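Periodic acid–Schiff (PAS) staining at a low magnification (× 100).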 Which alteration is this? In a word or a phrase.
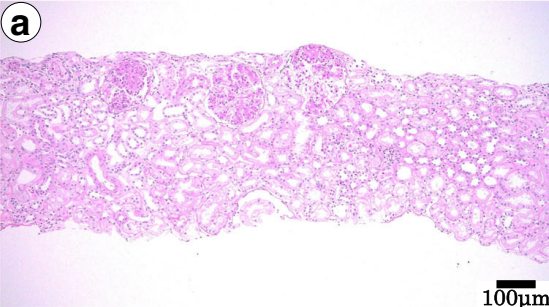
Lobular accentuation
